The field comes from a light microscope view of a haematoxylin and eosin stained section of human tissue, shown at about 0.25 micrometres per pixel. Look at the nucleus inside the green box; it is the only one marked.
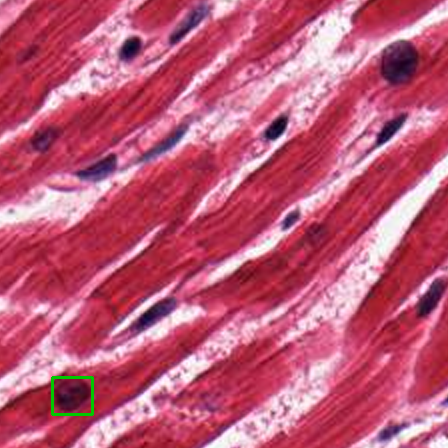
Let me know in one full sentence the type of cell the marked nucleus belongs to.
The nucleus marked in the section is that of a cardiomyocyte.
